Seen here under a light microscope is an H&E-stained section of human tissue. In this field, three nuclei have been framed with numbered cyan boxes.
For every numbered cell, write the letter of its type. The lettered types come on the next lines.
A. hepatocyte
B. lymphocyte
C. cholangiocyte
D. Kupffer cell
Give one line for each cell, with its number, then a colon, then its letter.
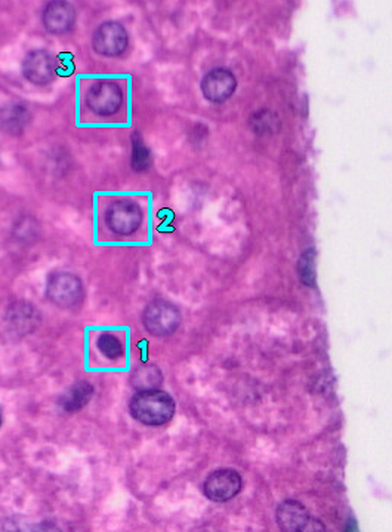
1: B
2: A
3: A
